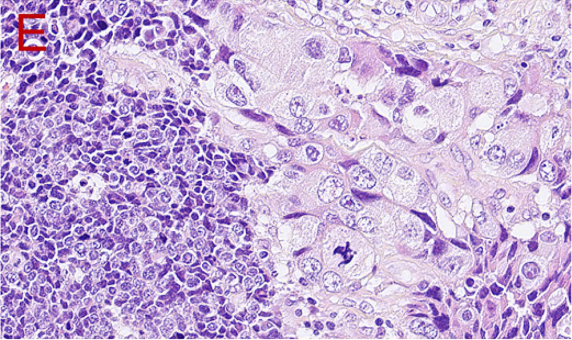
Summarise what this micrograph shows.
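Junction between two tumor components. On one side, crowded small cells with dark, round to ovoid nuclei and scant cytoplasm form a solid sheet. On the other, larger cells have vesicular pleomorphic nuclei with prominent nucleoli and abundant pale pink cytoplasm; a mitotic figure is visible among them. Elongated spindle-shaped stromal cells lie between the large cells. The change from small dark cells to large pale cells occurs across a short distance.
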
